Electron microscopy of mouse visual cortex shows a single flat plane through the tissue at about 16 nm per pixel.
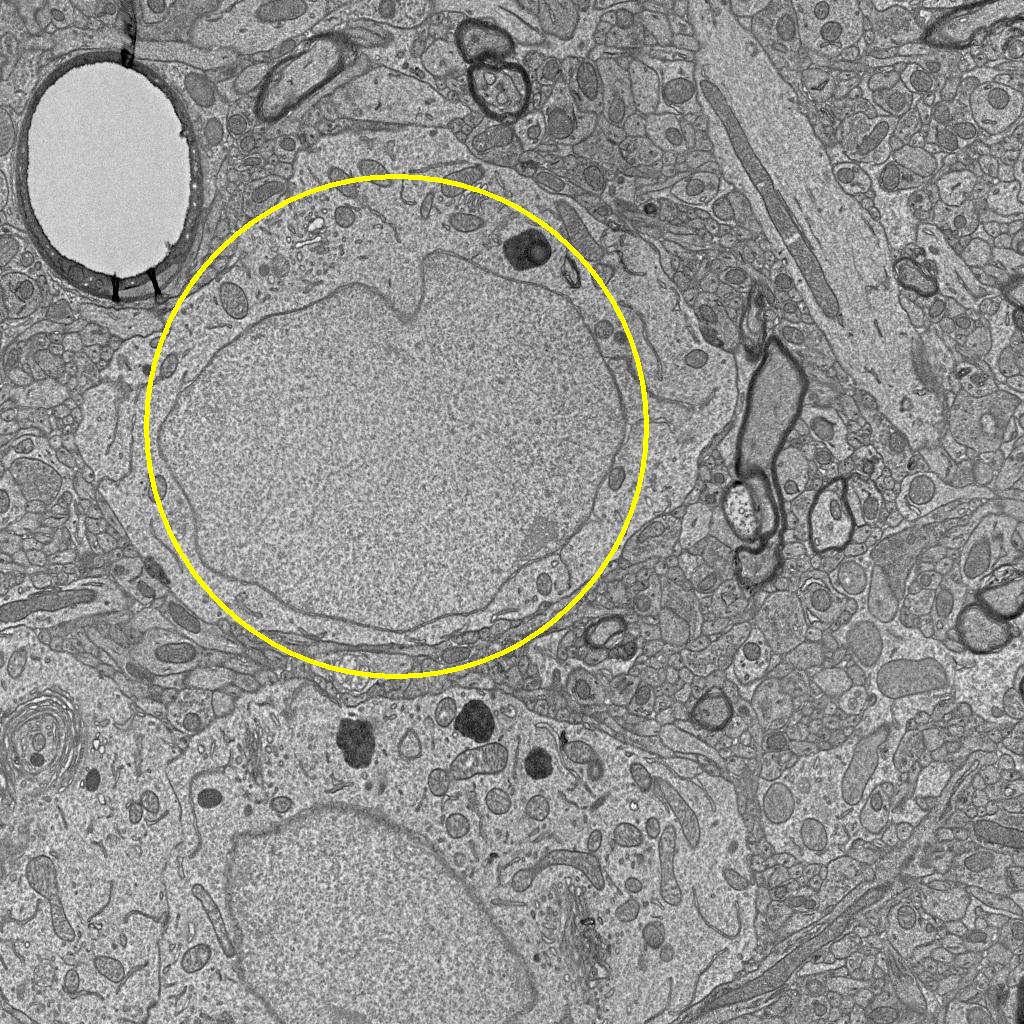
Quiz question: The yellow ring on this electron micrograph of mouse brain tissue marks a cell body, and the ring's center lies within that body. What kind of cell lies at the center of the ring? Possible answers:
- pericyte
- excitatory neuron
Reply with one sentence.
The ring's center lies on an excitatory neuron.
